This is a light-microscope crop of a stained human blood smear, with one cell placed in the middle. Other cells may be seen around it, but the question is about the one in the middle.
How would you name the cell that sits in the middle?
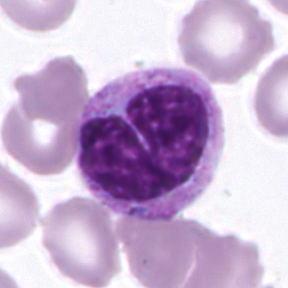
band neutrophil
